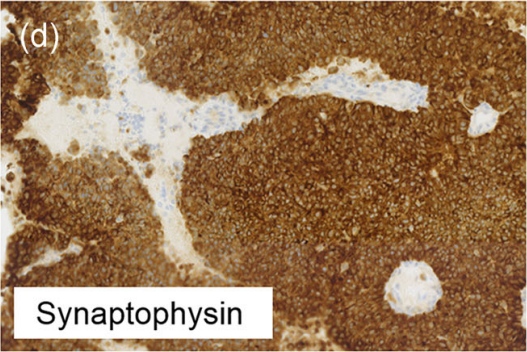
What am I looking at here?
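Almost every tumour cell is a strong, dark brown, with the colour filling the cytoplasm and outlining the cell borders, so the sheet looks like a brown mosaic. The thin strands of connective tissue between the sheets and the small vessels within them stay pale with light blue nuclei, which sets them off sharply from the brown tumour cells.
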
